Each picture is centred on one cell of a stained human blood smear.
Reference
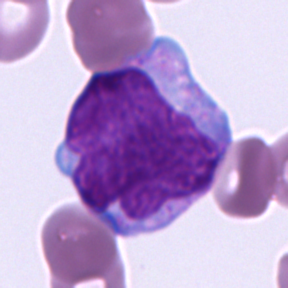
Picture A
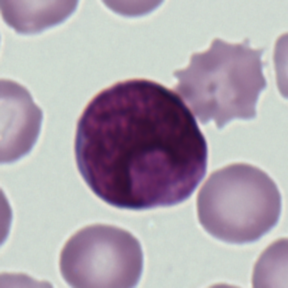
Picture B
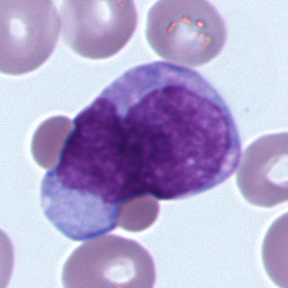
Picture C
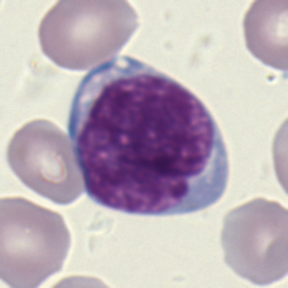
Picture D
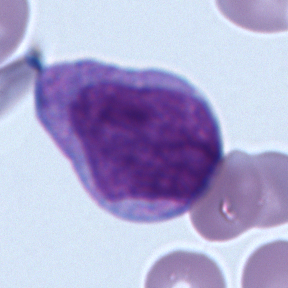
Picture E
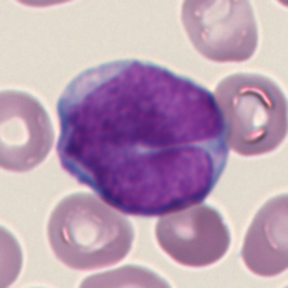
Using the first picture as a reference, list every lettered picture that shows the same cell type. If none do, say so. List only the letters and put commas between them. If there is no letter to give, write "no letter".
B, D, E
